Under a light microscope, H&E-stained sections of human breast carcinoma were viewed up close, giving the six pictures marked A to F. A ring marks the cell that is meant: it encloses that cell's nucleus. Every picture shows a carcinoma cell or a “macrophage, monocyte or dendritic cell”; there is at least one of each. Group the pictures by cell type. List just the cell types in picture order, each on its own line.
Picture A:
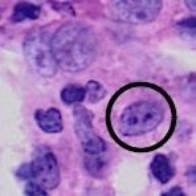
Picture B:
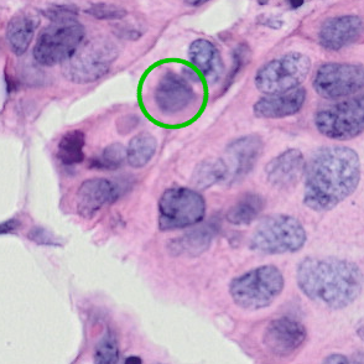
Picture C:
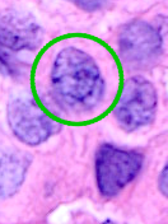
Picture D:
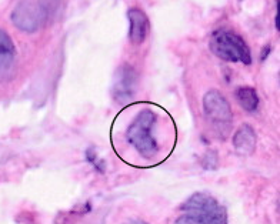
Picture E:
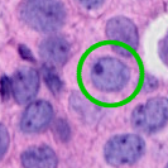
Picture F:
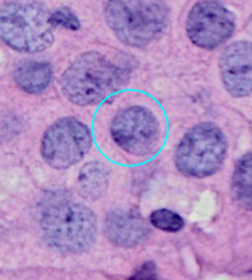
macrophage, monocyte or dendritic cell
carcinoma cell
carcinoma cell
macrophage, monocyte or dendritic cell
carcinoma cell
carcinoma cell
